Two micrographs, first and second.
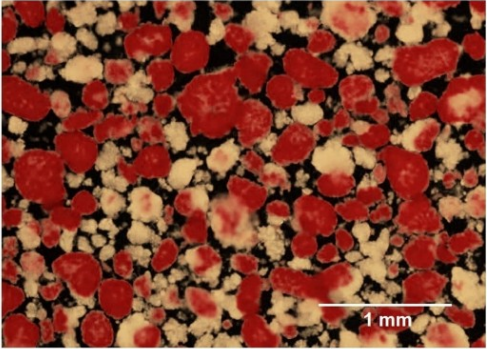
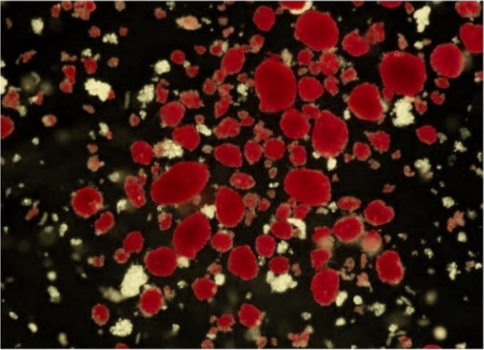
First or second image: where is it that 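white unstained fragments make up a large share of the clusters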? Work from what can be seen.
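First image: white and pale clusters are nearly as numerous as red ones. So: the first image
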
